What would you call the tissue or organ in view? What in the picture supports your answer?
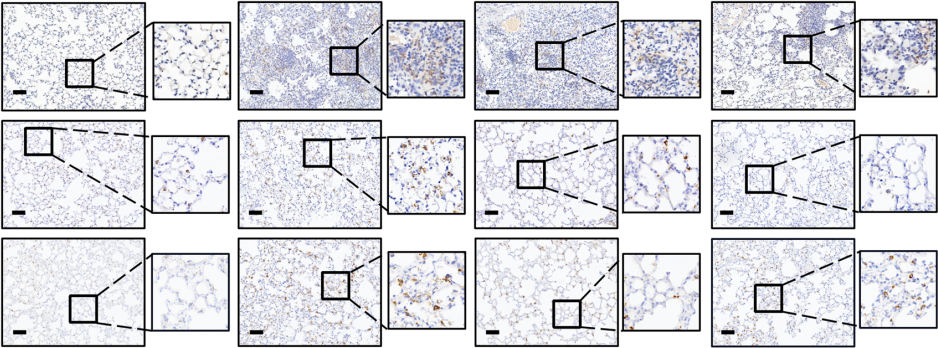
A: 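Thin-walled air spaces separated by delicate septa form a lace-like network. Some fields show denser, more cellular areas in which the air spaces are reduced.
Hence: lung.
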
